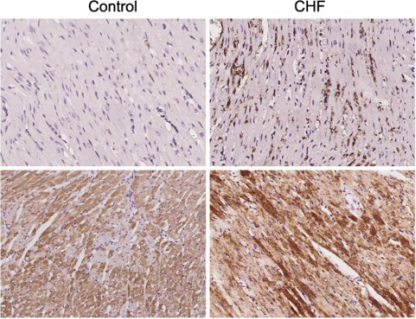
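Myocardial tissue in longitudinal section, shown as four fields in two rows and two columns. Elongated muscle fibres run in parallel bundles, with elongated blue-stained nuclei lying along them. In the upper row the left field is pale with blue nuclei and little brown colour, whereas the right field has many brown-stained elongated streaks running along the fibres. In the lower row the fibres carry brown cytoplasmic staining with paler gaps between bundles; the right field is darker brown, more patchy, and its fibres look more disorganised and separated by pale spaces than in the left field.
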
